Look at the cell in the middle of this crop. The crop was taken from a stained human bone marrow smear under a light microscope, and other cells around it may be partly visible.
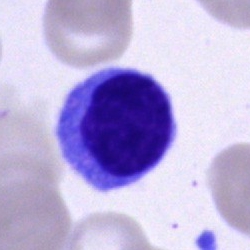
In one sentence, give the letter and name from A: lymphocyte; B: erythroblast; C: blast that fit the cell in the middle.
The cell occupying the centre is a lymphocyte; option A is thus the correct choice.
